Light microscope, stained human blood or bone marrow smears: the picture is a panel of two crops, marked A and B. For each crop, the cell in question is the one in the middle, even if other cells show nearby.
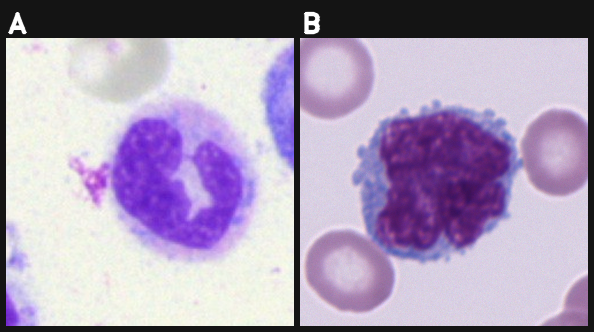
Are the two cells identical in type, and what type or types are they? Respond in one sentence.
Yes, the two crops show monocytes, both of them.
